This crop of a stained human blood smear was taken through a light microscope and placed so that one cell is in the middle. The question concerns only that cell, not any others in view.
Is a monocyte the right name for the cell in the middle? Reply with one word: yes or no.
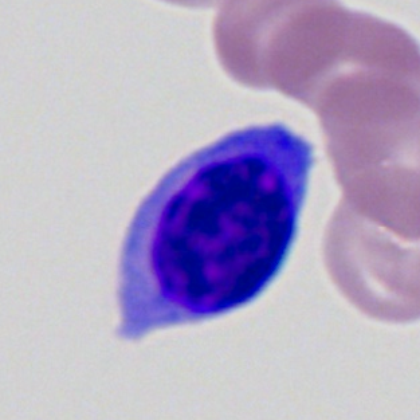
no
